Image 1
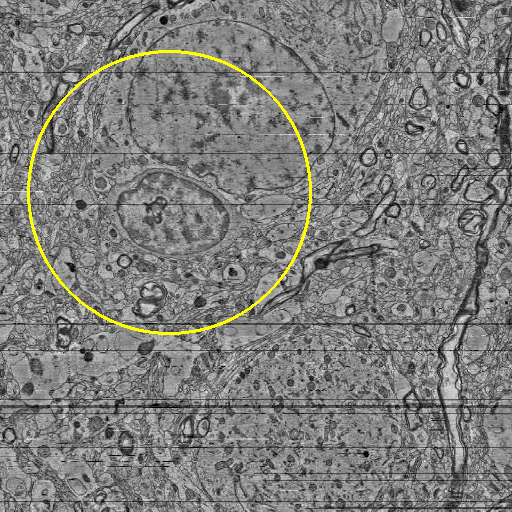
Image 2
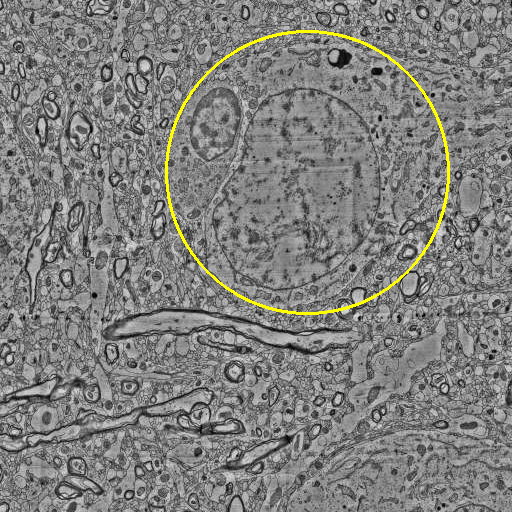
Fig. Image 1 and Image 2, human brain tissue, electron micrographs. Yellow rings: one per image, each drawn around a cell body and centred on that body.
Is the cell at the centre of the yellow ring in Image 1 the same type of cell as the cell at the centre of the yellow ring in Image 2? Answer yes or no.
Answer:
no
